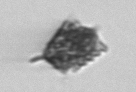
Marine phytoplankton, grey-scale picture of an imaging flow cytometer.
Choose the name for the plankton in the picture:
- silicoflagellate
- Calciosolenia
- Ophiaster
silicoflagellate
